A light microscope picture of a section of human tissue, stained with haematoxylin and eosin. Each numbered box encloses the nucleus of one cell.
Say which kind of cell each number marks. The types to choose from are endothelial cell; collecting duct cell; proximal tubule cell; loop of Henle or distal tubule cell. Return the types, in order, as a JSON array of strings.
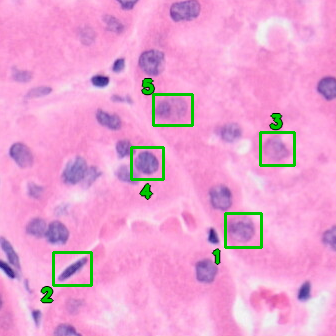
["proximal tubule cell", "endothelial cell", "proximal tubule cell", "loop of Henle or distal tubule cell", "proximal tubule cell"]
